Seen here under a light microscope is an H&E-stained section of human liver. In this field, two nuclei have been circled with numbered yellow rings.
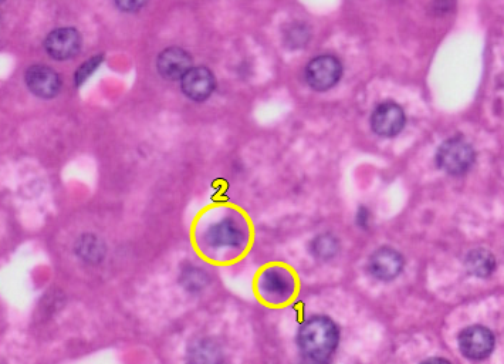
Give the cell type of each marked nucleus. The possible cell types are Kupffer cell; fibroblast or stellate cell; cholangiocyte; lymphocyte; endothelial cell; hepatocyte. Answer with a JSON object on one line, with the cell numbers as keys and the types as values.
{"1": "fibroblast or stellate cell", "2": "endothelial cell"}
